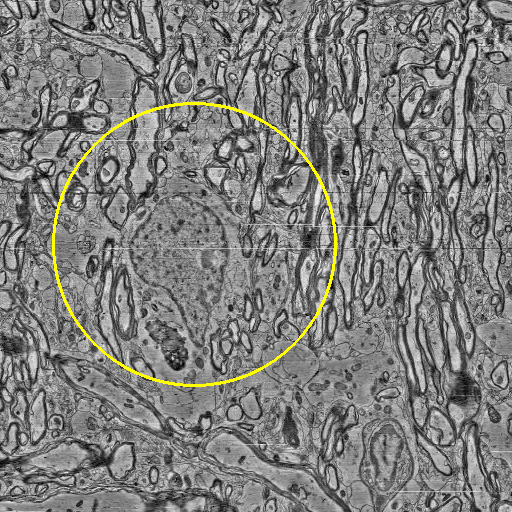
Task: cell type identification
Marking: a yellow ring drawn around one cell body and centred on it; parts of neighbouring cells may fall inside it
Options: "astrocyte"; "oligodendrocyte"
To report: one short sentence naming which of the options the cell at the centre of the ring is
The cell at the centre of the ring is an astrocyte.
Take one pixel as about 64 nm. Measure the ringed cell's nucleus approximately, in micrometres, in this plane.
In this plane, approximately 8 by 6 micrometers.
